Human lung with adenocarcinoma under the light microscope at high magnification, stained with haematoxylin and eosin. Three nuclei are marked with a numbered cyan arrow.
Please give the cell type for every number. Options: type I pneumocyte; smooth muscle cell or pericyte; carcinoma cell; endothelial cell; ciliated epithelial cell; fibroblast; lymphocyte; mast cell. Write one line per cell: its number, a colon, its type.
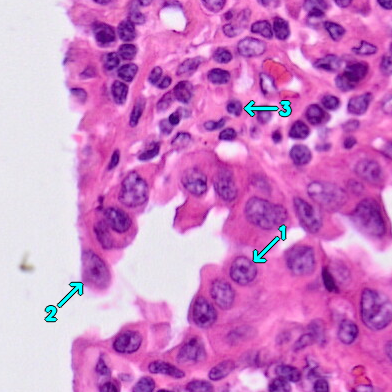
1: carcinoma cell
2: carcinoma cell
3: lymphocyte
